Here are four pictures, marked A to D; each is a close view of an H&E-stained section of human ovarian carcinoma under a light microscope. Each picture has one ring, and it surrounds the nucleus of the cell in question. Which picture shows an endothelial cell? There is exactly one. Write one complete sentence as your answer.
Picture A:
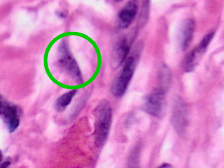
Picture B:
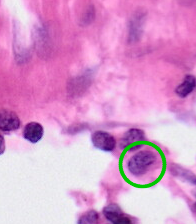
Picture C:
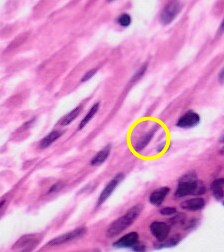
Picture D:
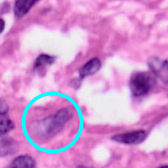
It is picture D that shows the endothelial cell.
